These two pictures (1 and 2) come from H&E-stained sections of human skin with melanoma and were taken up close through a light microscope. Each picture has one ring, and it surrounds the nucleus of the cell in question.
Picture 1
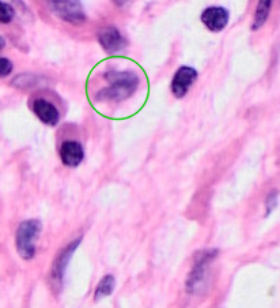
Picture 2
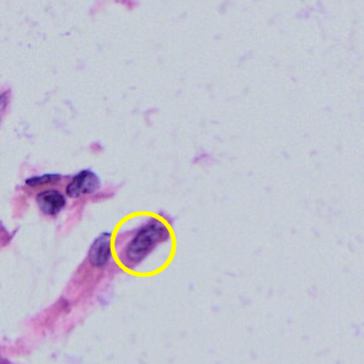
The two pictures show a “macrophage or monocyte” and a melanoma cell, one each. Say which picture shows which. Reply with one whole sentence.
The cell in picture 1 is a “macrophage or monocyte”, and the one in picture 2 is a melanoma cell.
